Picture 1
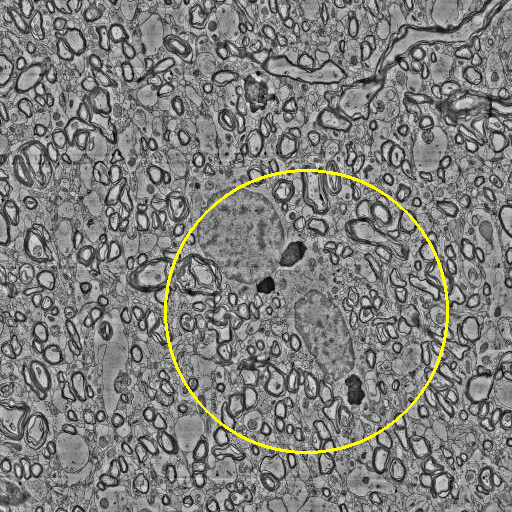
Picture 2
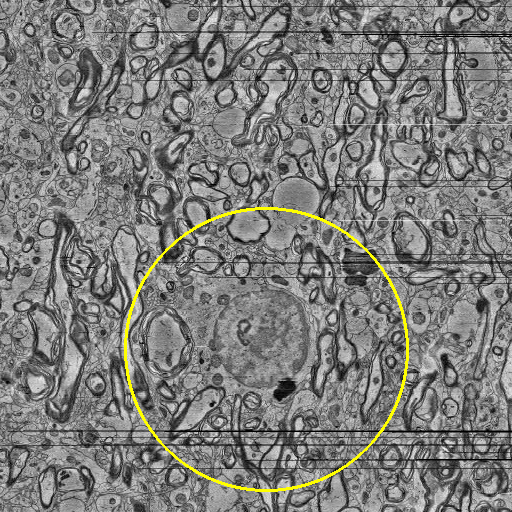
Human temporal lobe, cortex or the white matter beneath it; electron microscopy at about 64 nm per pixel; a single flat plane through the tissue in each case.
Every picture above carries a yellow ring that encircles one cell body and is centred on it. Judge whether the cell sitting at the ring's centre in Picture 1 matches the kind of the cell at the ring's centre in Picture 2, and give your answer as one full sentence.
Yes, the cells centred in the rings of Pictures 1 and 2 belong to one kind.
